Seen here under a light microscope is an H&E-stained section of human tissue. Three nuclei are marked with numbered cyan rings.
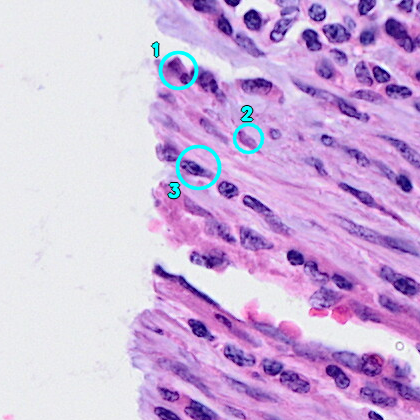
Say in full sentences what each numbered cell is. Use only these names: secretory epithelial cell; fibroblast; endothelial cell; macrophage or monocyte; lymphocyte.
Cell 1 is a macrophage or monocyte, cell 2 is a fibroblast and cell 3 is a lymphocyte.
